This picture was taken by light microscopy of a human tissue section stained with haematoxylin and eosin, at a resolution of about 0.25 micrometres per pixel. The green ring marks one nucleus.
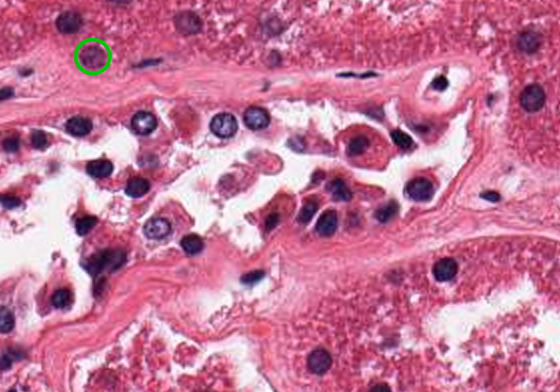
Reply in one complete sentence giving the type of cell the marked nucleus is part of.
The marked nucleus is seen to belong to a proximal tubule cell.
